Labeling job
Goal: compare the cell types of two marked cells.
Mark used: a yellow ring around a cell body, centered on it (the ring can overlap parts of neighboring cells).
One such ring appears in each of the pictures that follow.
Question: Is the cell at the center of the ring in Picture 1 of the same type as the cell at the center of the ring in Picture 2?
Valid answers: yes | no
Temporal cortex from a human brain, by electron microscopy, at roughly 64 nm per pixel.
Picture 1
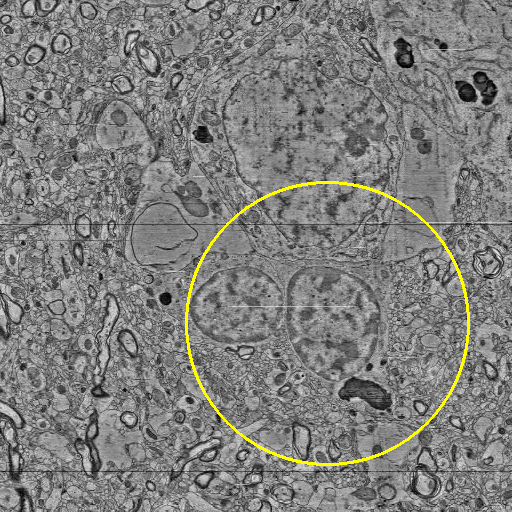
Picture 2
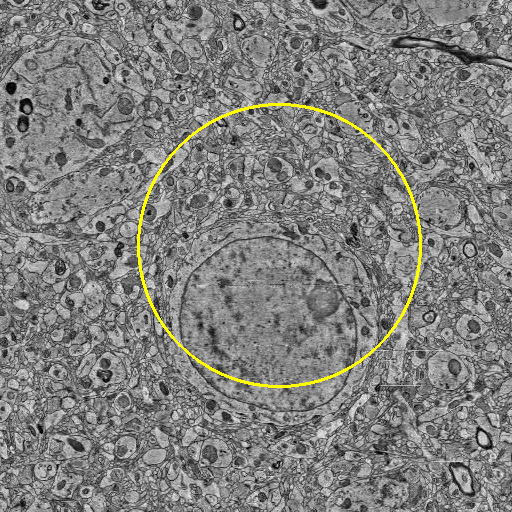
no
